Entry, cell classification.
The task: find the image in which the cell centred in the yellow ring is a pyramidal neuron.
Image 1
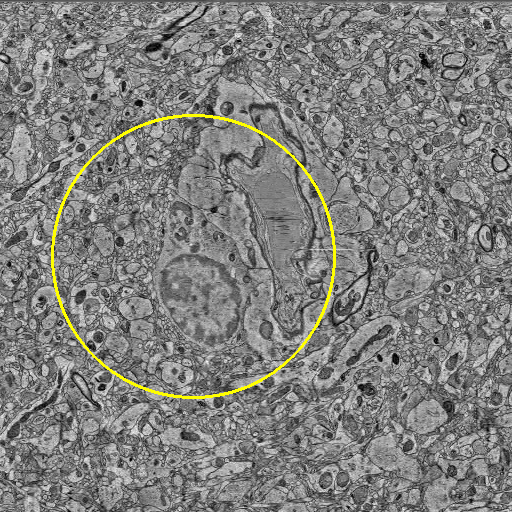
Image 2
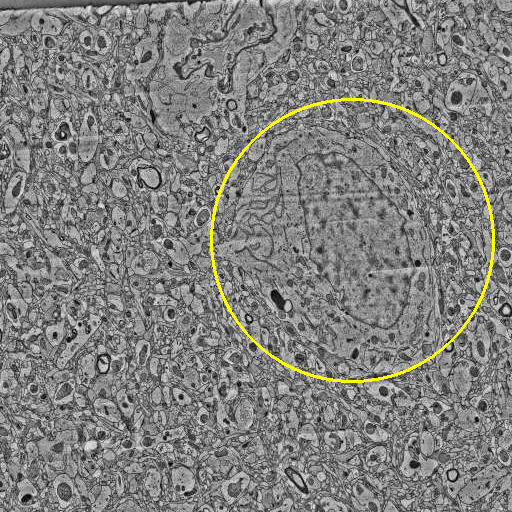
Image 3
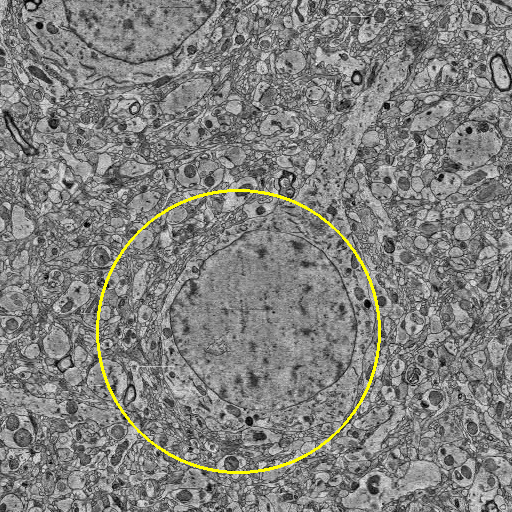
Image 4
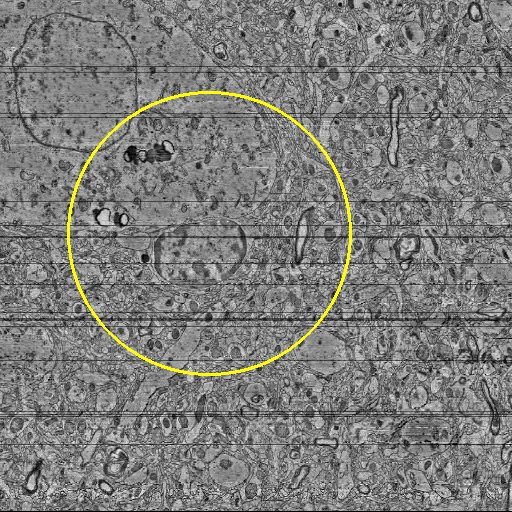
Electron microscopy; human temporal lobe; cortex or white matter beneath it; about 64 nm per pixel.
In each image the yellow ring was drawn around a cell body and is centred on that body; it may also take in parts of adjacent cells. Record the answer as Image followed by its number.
Image 3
